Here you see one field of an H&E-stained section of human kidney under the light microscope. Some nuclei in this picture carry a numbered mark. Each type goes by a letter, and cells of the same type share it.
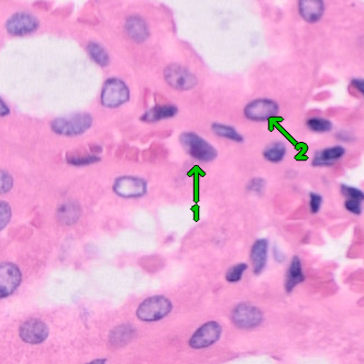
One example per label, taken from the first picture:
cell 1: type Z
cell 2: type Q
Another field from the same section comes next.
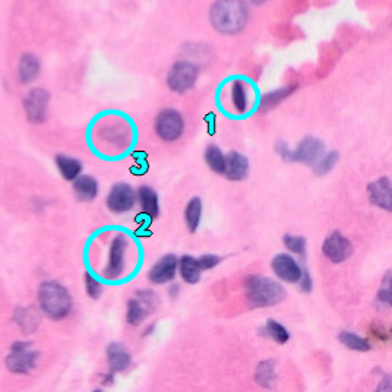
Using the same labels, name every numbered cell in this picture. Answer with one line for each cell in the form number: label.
1: type Z
2: type Z
3: type Q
